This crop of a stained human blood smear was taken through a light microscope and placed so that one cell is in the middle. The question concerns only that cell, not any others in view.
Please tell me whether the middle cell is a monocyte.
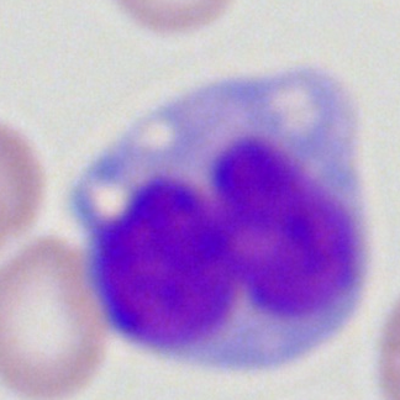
yes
